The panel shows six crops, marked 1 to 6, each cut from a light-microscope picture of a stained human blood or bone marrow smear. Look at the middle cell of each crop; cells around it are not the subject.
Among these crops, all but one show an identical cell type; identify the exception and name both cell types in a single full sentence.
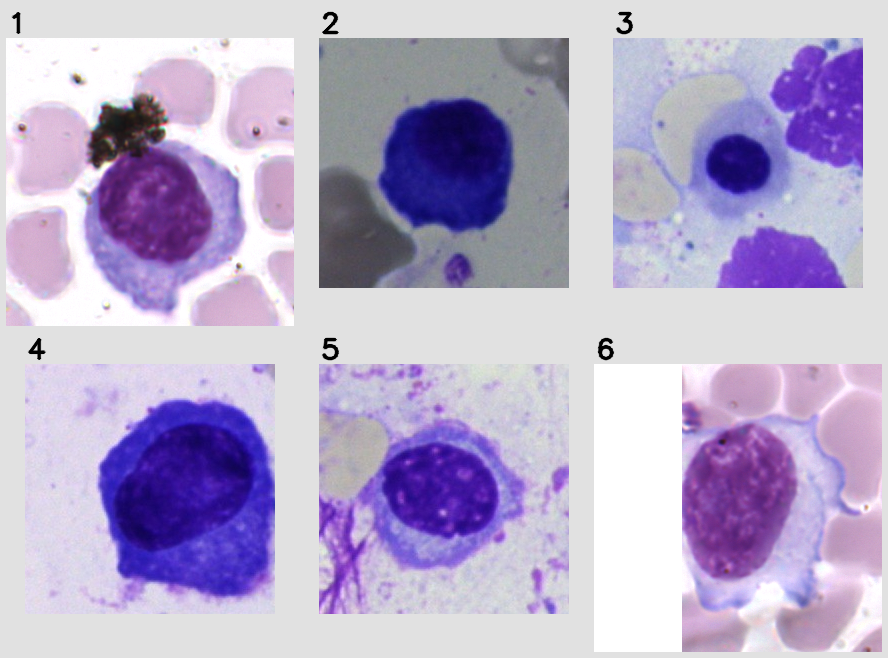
The crop that differs is 3, which is an erythroblast; the rest are plasma cells.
